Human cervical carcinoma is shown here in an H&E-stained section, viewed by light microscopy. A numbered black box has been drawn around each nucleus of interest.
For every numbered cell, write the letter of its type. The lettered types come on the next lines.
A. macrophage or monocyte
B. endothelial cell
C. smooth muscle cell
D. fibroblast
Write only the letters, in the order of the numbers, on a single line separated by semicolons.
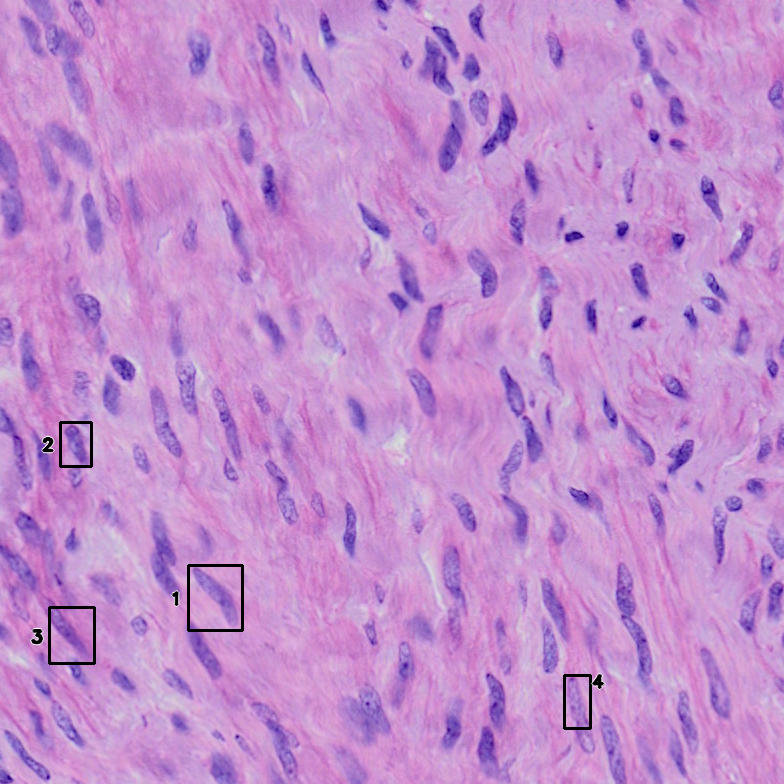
D; C; C; C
